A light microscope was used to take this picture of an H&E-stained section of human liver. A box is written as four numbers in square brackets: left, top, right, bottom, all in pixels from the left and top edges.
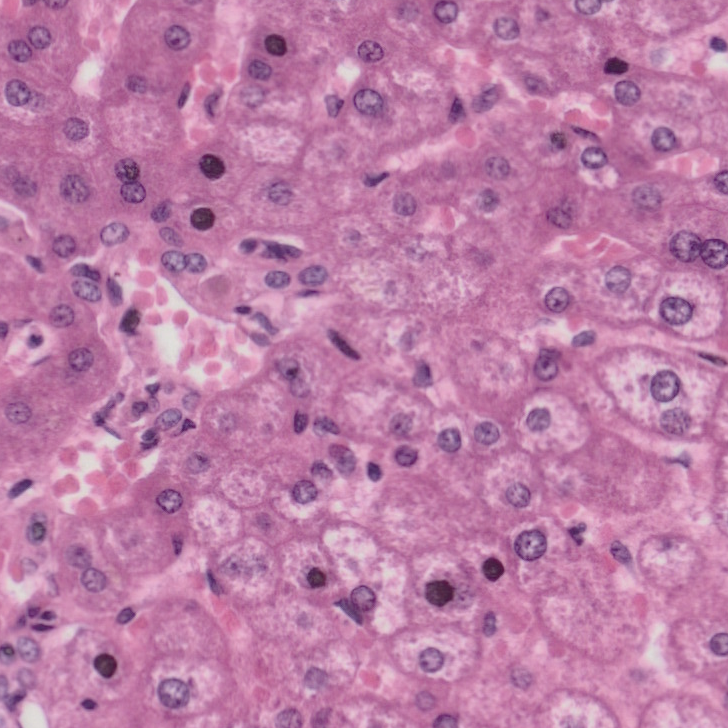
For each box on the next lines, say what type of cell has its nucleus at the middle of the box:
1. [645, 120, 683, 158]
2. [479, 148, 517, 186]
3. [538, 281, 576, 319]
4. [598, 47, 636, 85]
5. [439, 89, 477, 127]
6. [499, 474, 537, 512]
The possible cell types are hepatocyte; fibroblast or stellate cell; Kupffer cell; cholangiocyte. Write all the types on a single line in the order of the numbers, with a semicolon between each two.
hepatocyte; hepatocyte; hepatocyte; fibroblast or stellate cell; fibroblast or stellate cell; hepatocyte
